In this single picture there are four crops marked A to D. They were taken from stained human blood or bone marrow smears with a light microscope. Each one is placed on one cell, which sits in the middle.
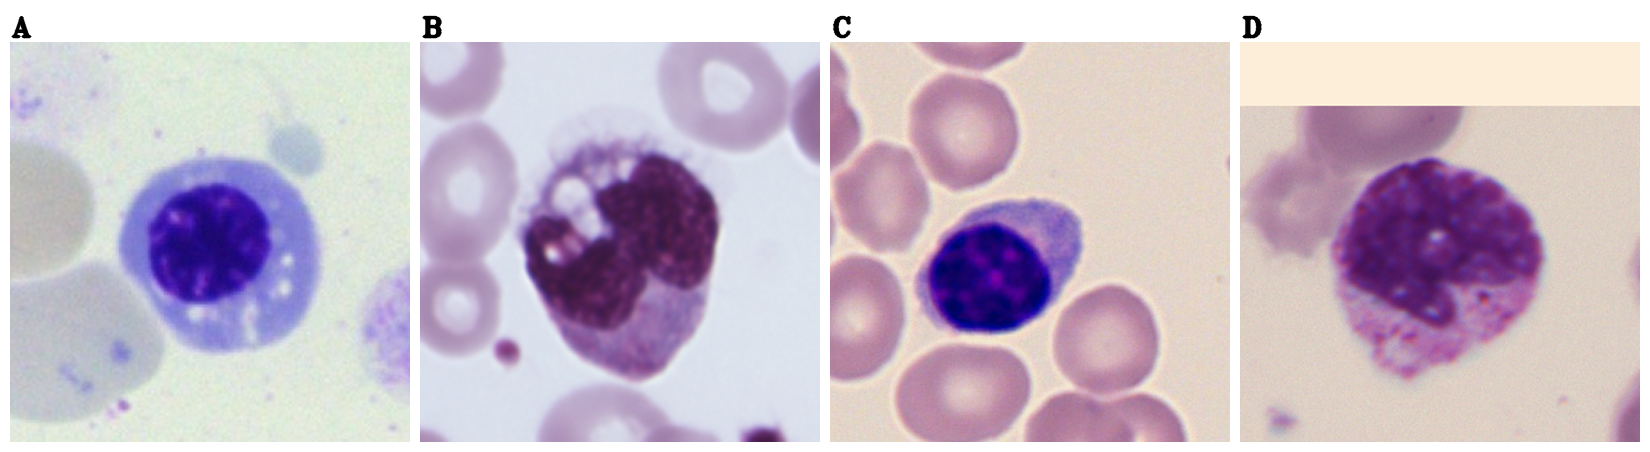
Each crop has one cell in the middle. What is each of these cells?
A: normoblast
B: monocyte
C: normoblast
D: band neutrophil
